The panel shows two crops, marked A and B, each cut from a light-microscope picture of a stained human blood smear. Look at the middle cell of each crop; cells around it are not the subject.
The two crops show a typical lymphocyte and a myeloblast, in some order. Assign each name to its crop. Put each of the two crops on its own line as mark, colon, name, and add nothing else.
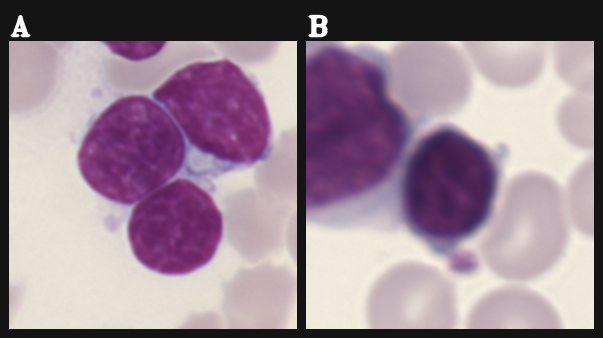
A: myeloblast
B: typical lymphocyte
